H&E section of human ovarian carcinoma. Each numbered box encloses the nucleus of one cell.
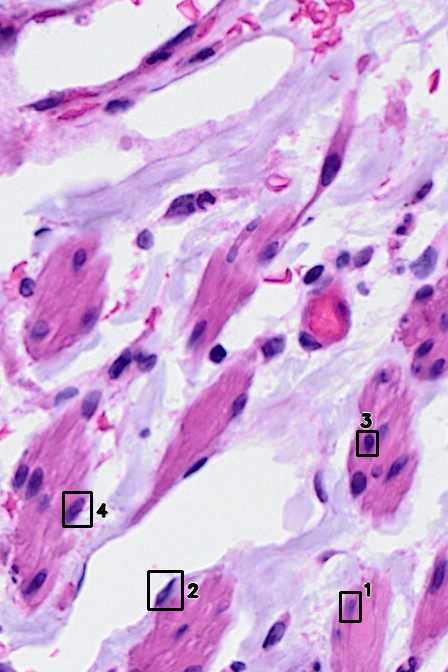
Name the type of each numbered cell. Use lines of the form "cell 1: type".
cell 1: smooth muscle cell
cell 2: endothelial cell
cell 3: smooth muscle cell
cell 4: smooth muscle cell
